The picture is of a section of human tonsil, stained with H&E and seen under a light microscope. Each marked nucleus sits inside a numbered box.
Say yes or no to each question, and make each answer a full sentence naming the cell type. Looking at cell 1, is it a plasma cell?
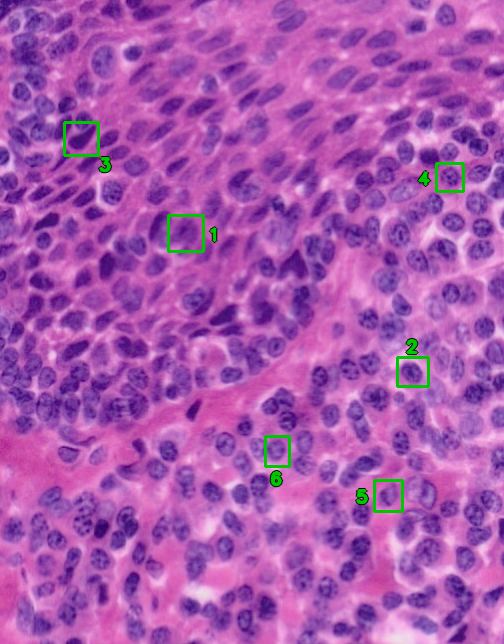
No, cell 1, which is a squamous epithelial cell, is not a plasma cell.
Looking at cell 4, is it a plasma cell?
Yes, the cell identified as number 4 is a plasma cell.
